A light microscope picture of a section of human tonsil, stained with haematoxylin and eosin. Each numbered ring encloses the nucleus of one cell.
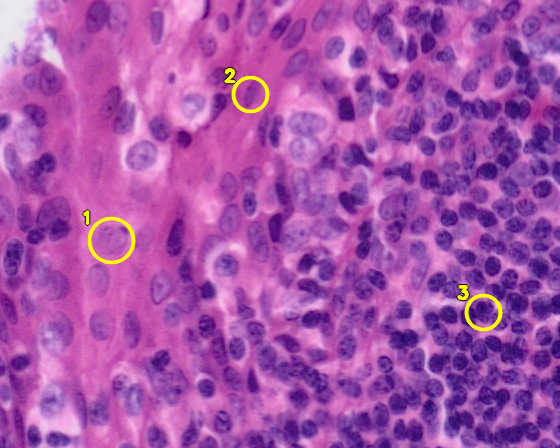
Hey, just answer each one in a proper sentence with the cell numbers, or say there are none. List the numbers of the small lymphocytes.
As for the numbered cells, only cell 3 is a small lymphocyte.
